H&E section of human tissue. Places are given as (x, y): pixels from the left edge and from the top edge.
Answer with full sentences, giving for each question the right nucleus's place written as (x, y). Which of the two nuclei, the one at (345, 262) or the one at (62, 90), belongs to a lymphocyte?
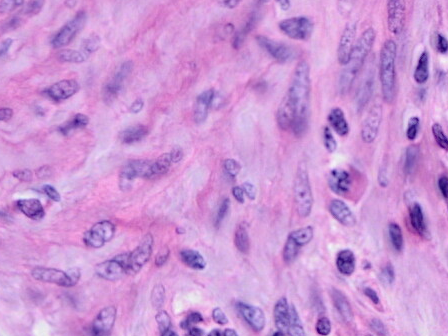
Housed in a lymphocyte is the nucleus at (345, 262), not the other one.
